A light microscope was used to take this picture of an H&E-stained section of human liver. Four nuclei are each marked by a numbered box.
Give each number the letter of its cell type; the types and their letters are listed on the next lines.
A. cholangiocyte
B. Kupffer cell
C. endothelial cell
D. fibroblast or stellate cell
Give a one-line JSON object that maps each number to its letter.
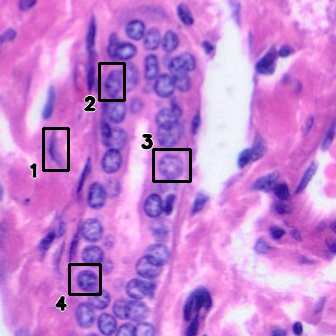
{"1": "D", "2": "A", "3": "A", "4": "A"}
